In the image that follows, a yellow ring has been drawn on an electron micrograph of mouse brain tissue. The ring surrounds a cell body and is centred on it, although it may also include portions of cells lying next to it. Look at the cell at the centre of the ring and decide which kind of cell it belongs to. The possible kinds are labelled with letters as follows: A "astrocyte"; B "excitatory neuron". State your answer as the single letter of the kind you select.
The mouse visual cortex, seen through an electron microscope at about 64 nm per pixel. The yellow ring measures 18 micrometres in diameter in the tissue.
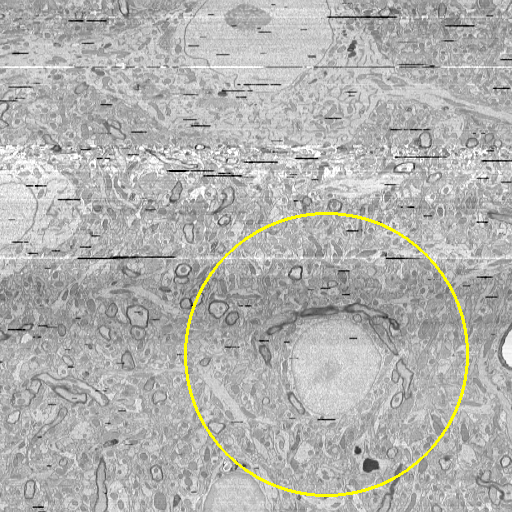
A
